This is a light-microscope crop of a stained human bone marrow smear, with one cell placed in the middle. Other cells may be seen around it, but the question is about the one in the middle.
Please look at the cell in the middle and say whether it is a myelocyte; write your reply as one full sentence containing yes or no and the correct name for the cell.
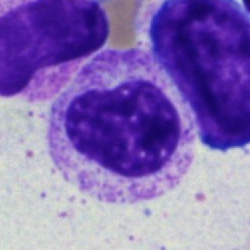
Yes, this central cell is a myelocyte.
